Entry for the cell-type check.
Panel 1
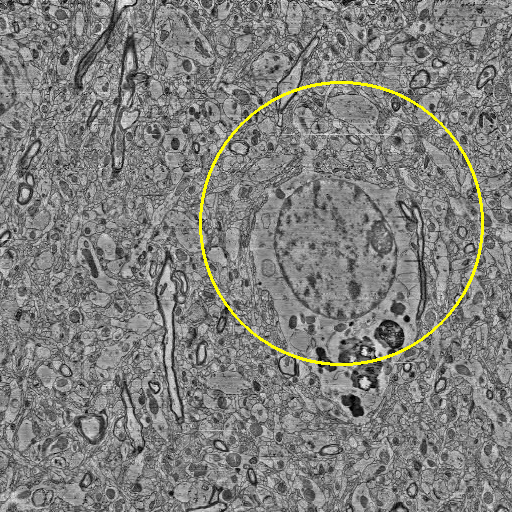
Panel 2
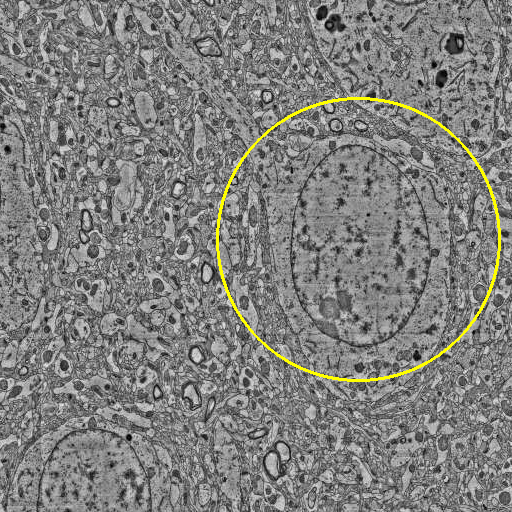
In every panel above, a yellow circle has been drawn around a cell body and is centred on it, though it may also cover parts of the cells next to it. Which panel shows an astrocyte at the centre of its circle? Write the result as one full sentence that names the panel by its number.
Panel 1 shows it at the centre of its circle.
